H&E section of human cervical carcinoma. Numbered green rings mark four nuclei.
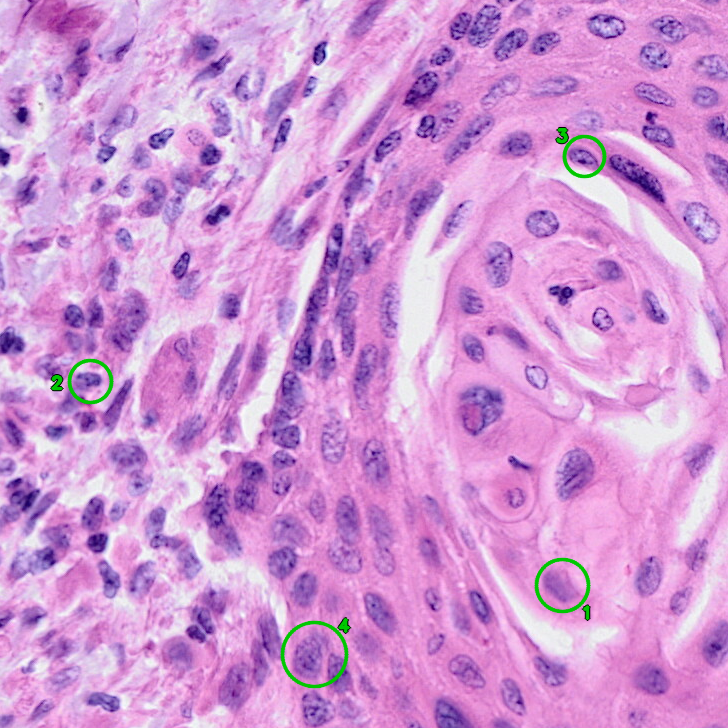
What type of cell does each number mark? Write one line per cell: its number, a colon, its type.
1: squamous carcinoma cell
2: lymphocyte
3: squamous carcinoma cell
4: squamous carcinoma cell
